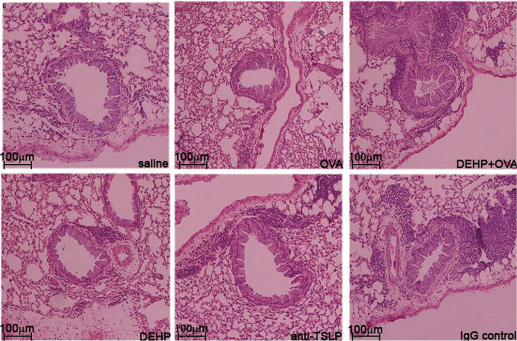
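Six views of lung tissue each show a bronchiole cut in cross-section, lined by a folded epithelium with purple nuclei and surrounded by pink alveolar tissue with thin septa. In several views, dense clusters of small cells with dark purple nuclei gather around the airways and neighbouring vessels.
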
